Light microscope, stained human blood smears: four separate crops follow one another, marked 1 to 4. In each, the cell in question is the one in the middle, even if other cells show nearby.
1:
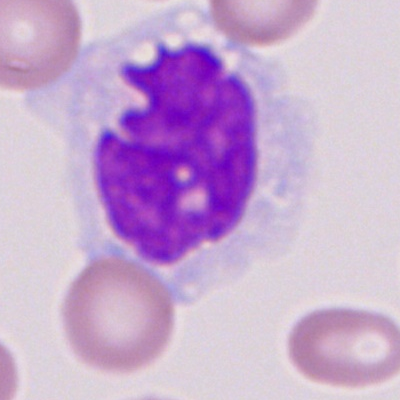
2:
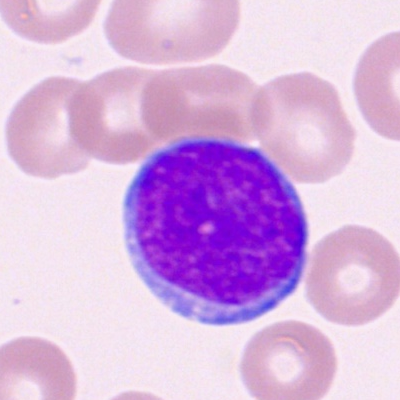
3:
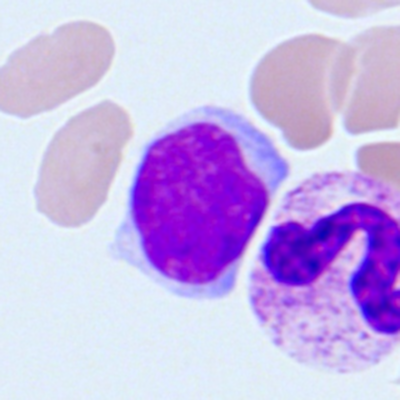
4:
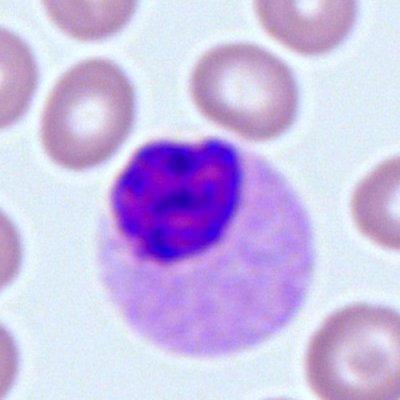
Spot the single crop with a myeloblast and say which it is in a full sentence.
The crop marked 2 is the one in which a myeloblast is shown.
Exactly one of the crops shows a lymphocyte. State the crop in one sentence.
The crop with a lymphocyte at its center is crop 3.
